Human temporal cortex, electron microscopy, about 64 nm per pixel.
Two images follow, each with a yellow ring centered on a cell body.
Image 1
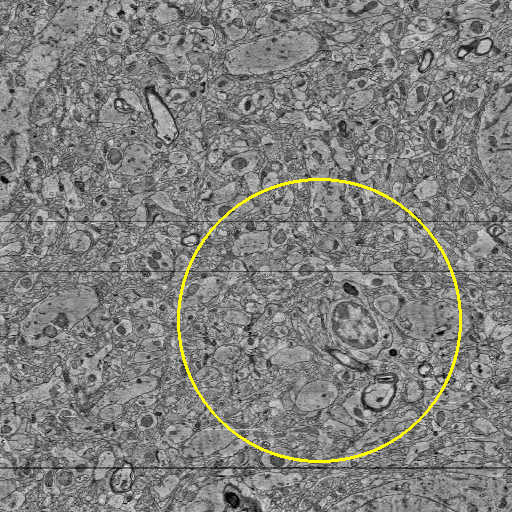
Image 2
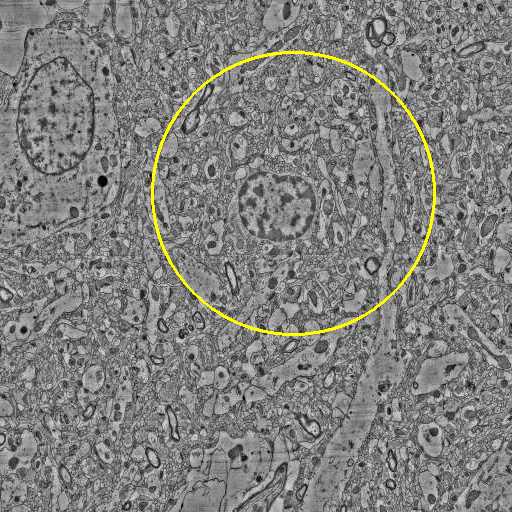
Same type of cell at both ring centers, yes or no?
yes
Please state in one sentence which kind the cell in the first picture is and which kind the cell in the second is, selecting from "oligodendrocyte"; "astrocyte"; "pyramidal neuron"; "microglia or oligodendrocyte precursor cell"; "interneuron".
The first and the second cell are each a microglial cell or oligodendrocyte precursor cell.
